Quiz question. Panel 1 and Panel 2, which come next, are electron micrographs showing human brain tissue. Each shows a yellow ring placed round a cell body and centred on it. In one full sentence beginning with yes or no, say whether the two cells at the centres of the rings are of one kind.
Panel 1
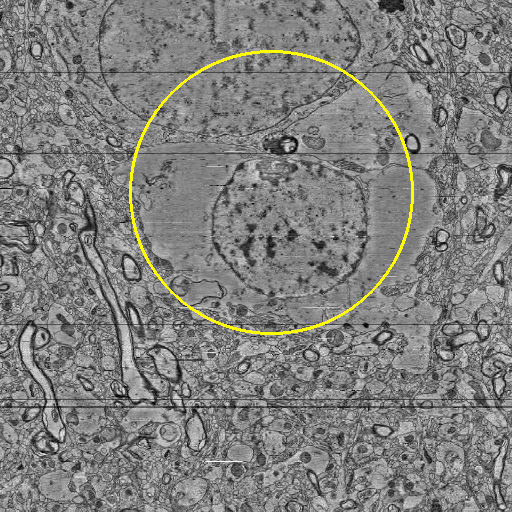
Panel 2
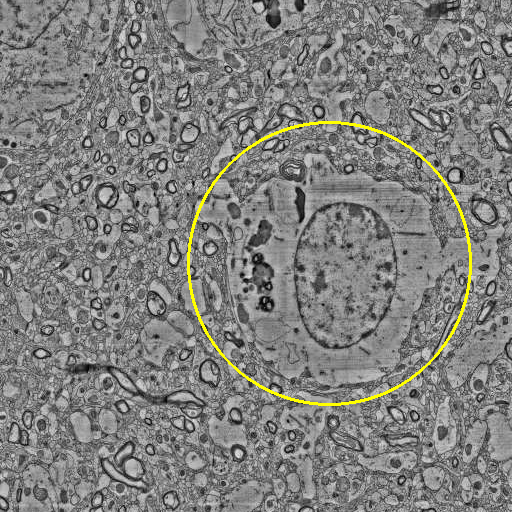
Yes, Panel 1 and Panel 2 show one kind of cell at the centre of the ring.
